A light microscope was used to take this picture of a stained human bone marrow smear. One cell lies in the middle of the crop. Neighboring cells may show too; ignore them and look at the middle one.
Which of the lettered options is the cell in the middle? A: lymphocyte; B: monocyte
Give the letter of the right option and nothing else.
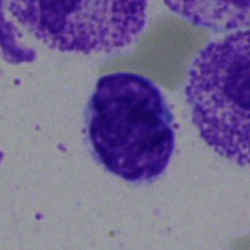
A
